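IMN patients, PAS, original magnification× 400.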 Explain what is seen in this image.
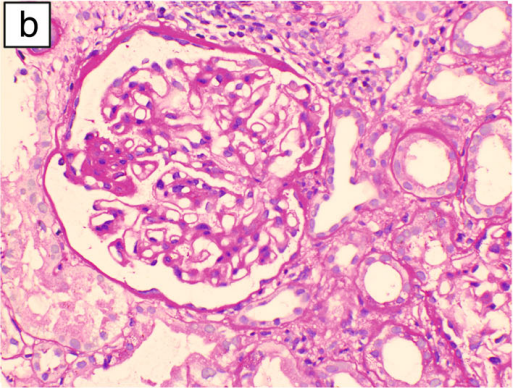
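On one side a tuft segment adheres to the capsule, and mesangial areas hold increased magenta matrix. The interstitium nearby contains scattered nuclei.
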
